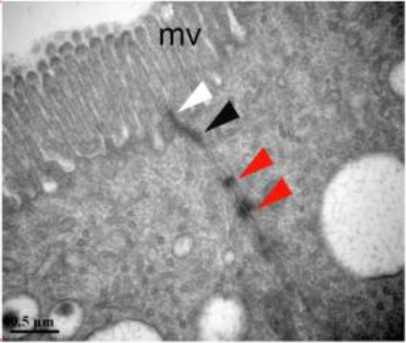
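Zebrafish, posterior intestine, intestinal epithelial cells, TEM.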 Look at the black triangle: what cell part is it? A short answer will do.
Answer: Adhesion junctions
